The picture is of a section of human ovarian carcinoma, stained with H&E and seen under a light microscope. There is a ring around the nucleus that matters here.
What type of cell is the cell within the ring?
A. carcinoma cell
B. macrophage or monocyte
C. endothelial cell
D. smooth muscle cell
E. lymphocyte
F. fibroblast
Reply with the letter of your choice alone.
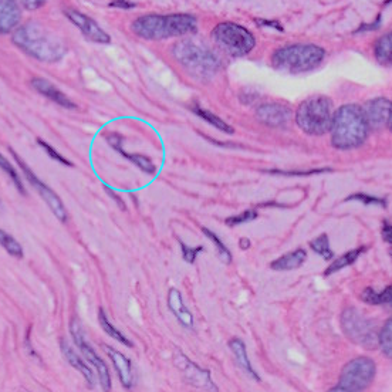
F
